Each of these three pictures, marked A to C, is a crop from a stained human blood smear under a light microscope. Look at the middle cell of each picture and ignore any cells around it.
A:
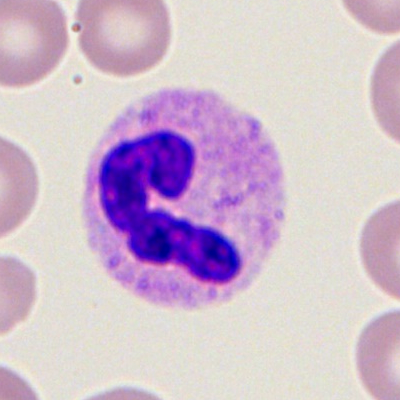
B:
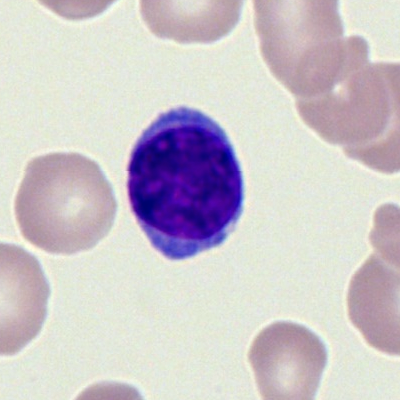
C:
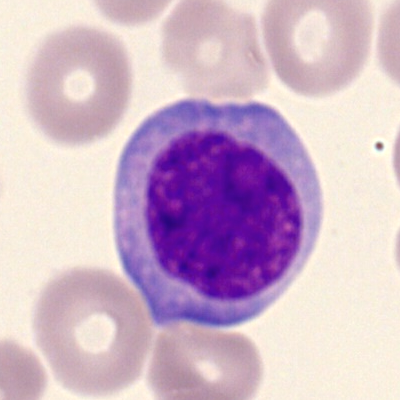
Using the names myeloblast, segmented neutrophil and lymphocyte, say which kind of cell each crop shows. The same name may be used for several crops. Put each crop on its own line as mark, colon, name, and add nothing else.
A: segmented neutrophil
B: lymphocyte
C: myeloblast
